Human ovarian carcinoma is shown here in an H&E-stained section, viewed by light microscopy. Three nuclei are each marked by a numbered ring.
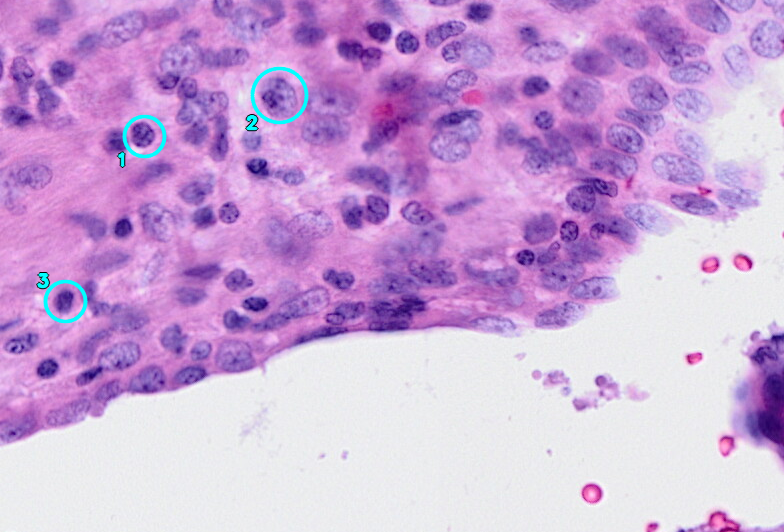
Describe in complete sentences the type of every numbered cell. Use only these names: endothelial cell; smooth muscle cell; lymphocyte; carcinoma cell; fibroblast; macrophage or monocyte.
Cells 1 and 3 are lymphocytes. Cell 2 is a fibroblast.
